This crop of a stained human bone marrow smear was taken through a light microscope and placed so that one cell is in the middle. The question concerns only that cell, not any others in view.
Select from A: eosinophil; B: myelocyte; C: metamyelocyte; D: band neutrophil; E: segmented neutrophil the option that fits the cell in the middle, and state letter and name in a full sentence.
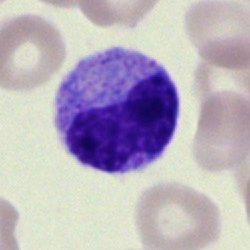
Answer key: option C, the middle cell being a metamyelocyte.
